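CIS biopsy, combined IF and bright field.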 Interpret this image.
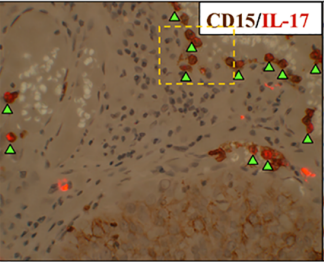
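Tissue with elongated stromal nuclei and pale areas, in which a number of rounded cells with brown-outlined cytoplasm are scattered, several clustered near the top. Red fluorescent dots lie within or beside many of these brown-stained round cells.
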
